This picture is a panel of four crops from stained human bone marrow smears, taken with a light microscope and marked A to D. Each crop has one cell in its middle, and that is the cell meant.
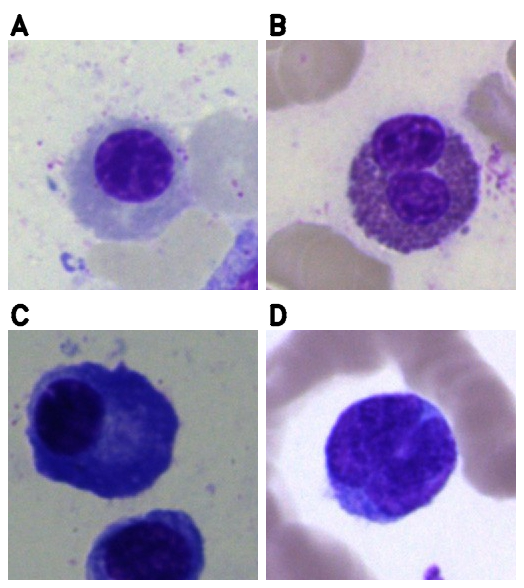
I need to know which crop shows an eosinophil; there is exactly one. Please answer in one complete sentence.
Crop B is the right one; it is the crop showing an eosinophil.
